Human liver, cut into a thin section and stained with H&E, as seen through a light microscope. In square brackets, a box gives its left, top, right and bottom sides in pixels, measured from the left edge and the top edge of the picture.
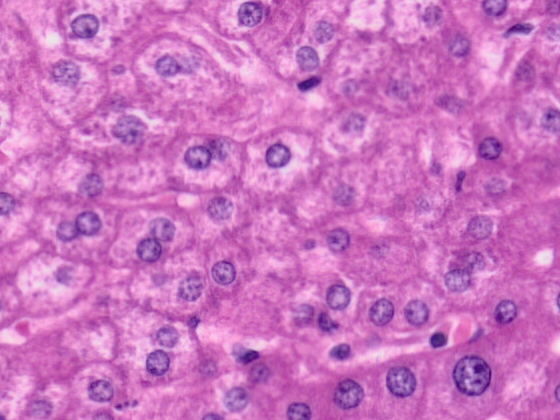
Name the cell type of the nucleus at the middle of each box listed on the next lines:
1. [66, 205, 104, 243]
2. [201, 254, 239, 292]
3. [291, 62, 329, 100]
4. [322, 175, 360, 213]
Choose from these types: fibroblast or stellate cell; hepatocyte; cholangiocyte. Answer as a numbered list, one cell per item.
1. hepatocyte
2. hepatocyte
3. fibroblast or stellate cell
4. hepatocyte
